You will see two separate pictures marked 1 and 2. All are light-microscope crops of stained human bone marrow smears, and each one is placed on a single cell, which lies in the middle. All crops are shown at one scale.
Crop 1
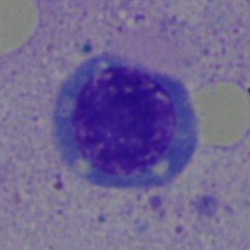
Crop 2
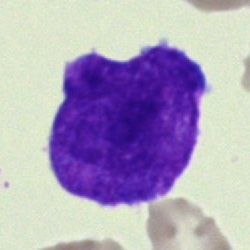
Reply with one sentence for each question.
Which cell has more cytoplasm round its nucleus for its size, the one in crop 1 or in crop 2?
In crop 1 the nucleus takes up the smaller part of its cell.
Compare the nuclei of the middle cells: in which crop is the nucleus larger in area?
It is the nucleus in crop 2, about 2 times as large in area as the one in crop 1.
